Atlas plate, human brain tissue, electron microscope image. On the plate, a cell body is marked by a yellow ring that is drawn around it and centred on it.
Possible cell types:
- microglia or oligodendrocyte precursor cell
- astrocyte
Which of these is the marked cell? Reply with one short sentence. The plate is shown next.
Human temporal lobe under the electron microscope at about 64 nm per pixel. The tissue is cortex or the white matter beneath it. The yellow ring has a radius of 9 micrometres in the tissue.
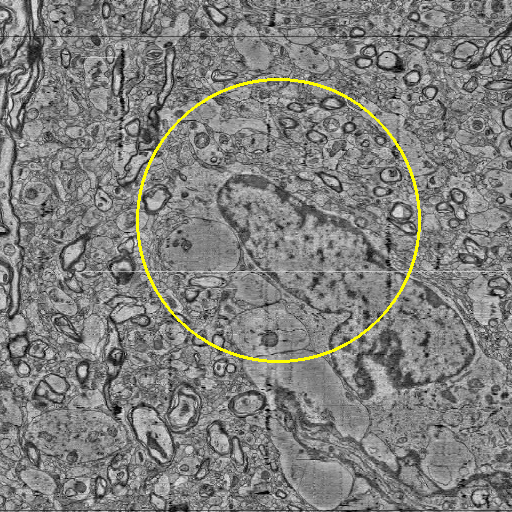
The marked cell is a microglial cell or oligodendrocyte precursor cell.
